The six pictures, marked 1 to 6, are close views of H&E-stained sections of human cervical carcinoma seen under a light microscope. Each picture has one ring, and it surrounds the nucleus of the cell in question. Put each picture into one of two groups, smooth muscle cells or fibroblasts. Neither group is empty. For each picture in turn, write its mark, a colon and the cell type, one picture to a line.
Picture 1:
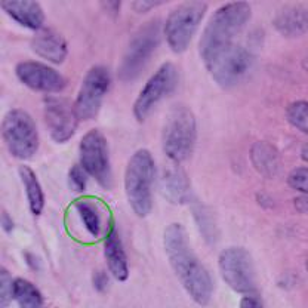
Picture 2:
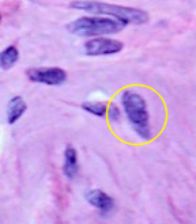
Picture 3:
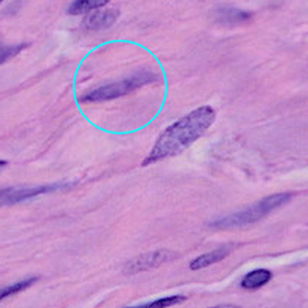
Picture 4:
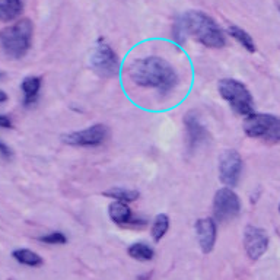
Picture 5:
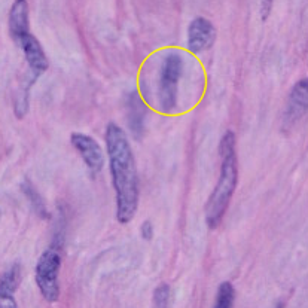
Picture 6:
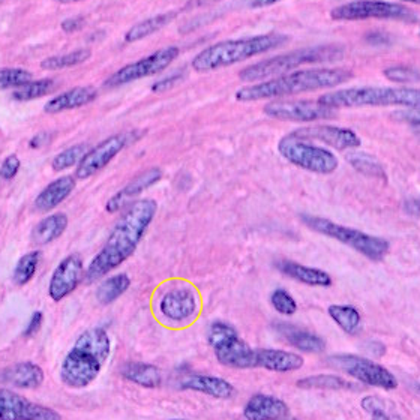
1: fibroblast
2: fibroblast
3: fibroblast
4: fibroblast
5: smooth muscle cell
6: smooth muscle cell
